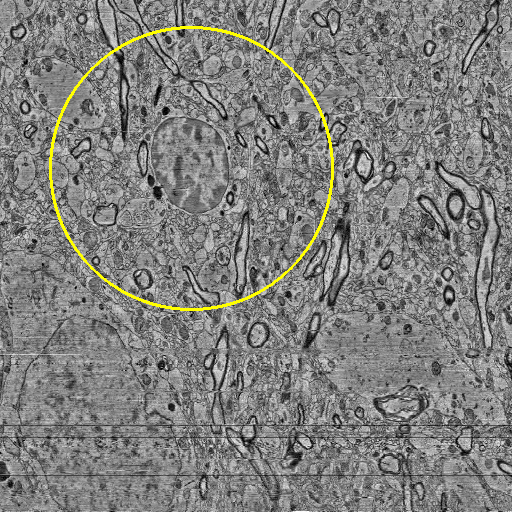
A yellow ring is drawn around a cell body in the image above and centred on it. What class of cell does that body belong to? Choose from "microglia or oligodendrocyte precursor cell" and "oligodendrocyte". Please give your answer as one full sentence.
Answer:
The yellow ring above is centred on the cell body of a microglial cell or oligodendrocyte precursor cell.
